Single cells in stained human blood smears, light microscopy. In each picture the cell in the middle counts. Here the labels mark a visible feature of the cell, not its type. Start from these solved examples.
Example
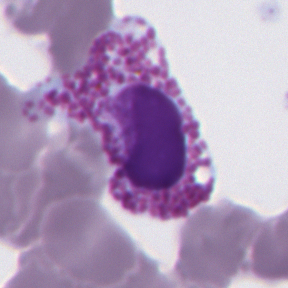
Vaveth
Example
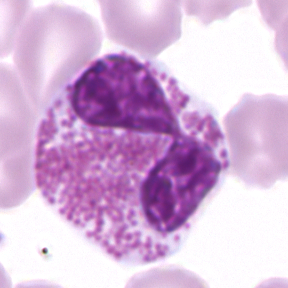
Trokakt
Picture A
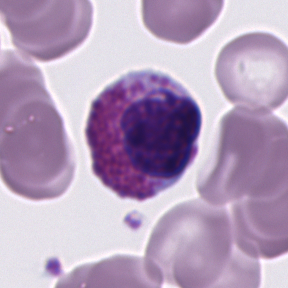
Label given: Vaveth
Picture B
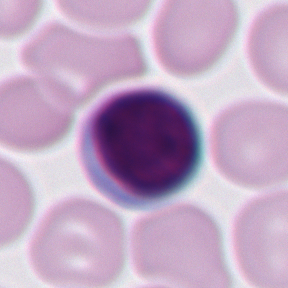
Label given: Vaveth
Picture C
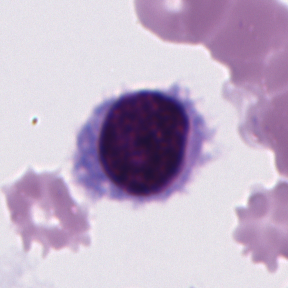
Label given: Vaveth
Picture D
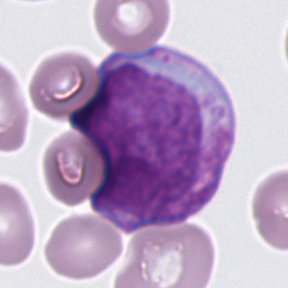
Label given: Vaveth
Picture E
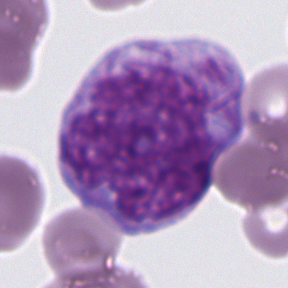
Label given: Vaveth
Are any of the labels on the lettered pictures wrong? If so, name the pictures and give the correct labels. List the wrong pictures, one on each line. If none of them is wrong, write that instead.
Every label is right.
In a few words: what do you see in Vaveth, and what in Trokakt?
Seen in Vaveth: single compact nucleus; seen in Trokakt: lobed nucleus.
